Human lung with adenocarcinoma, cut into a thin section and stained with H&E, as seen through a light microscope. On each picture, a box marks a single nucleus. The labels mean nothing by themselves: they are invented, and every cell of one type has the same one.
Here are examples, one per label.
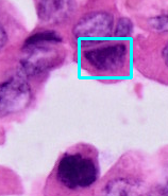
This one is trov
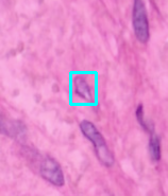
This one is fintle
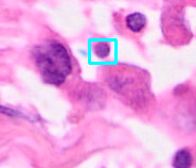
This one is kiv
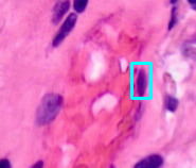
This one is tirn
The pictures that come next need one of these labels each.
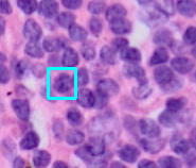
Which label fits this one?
kiv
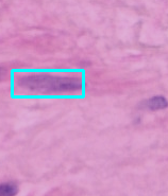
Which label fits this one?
fintle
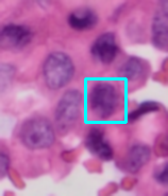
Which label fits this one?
trov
